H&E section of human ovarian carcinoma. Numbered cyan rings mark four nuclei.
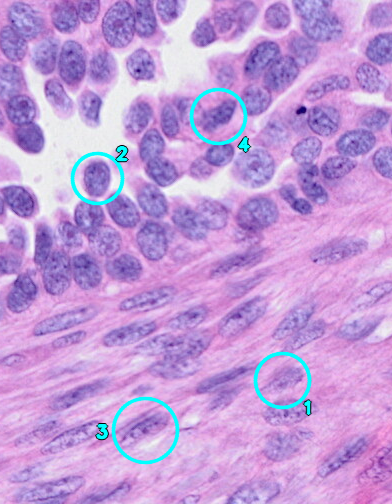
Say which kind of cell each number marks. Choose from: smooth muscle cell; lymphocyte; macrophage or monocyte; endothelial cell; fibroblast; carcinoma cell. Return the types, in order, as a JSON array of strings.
["fibroblast", "carcinoma cell", "fibroblast", "carcinoma cell"]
